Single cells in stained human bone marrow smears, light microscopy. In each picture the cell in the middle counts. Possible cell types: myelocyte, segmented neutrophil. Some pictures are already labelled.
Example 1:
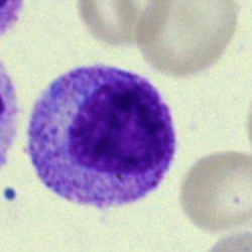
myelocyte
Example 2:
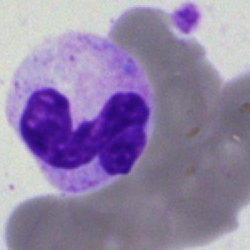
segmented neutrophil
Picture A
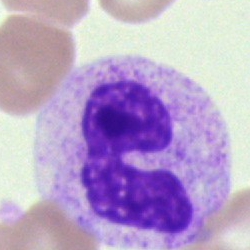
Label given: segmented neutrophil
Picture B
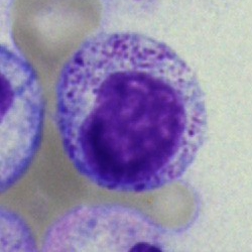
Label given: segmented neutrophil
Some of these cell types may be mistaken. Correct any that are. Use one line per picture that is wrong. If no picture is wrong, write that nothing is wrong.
B: change segmented neutrophil to myelocyte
